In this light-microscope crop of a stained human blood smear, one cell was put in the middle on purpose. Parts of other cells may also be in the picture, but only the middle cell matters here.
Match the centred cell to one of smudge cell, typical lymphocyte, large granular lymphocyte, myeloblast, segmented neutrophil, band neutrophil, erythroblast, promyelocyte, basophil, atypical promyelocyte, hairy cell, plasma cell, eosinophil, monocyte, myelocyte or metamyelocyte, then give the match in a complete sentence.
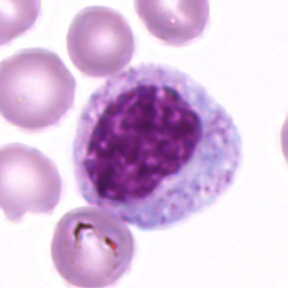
The central cell in this smear crop is a metamyelocyte.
